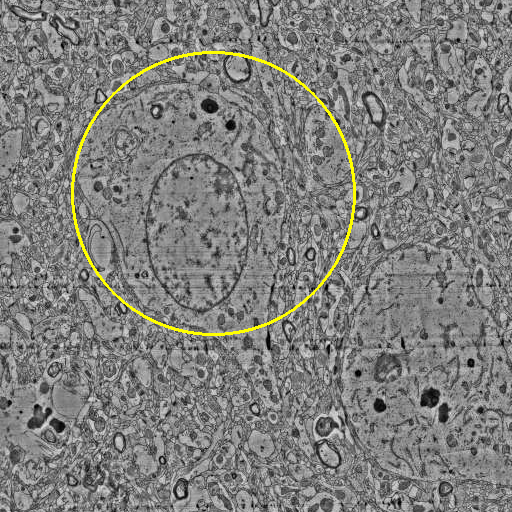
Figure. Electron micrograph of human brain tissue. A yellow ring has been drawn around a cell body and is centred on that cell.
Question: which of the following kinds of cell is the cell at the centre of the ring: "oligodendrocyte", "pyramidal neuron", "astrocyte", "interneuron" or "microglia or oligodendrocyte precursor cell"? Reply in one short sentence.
The cell at the centre of the ring is a pyramidal neuron.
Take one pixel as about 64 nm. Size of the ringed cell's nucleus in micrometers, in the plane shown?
Approximately 10 micrometres long and 7 micrometres wide, so clearly longer than it is wide in this plane.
